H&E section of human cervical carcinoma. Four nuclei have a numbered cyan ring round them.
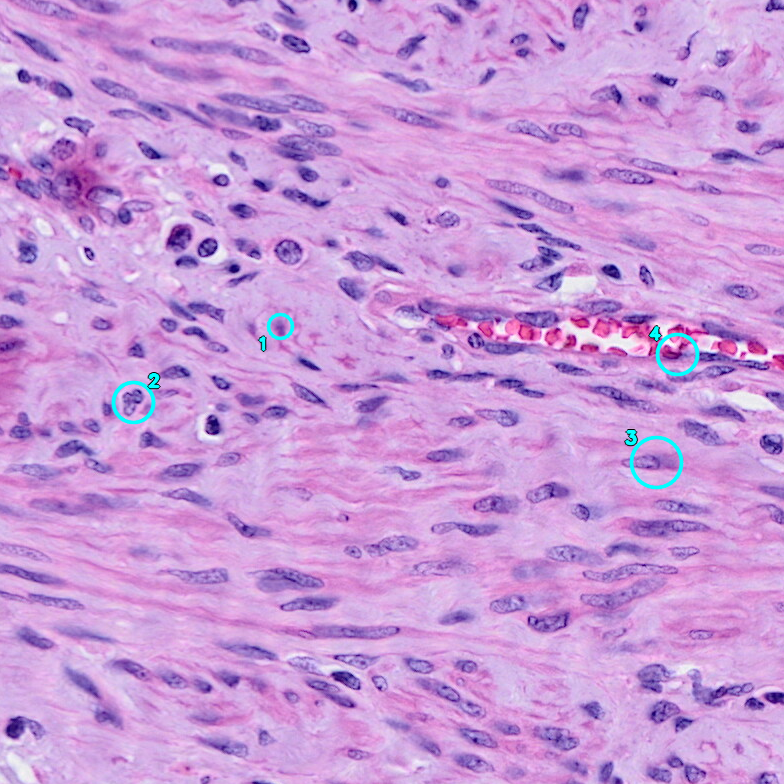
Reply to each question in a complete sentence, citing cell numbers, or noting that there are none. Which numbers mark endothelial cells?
Only at number 4 is there an endothelial cell among the marked cells.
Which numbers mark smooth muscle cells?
As for the cells numbered 1 and 3, they are smooth muscle cells.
